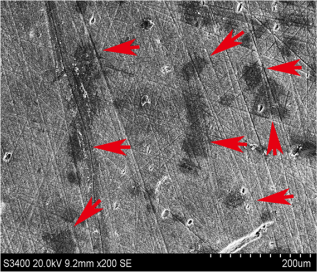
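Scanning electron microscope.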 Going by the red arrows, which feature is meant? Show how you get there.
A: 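The arrows point to dark, irregular patches on the surface. Some patches merge into larger dark areas. That points to this answer: Bone resorption pits.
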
